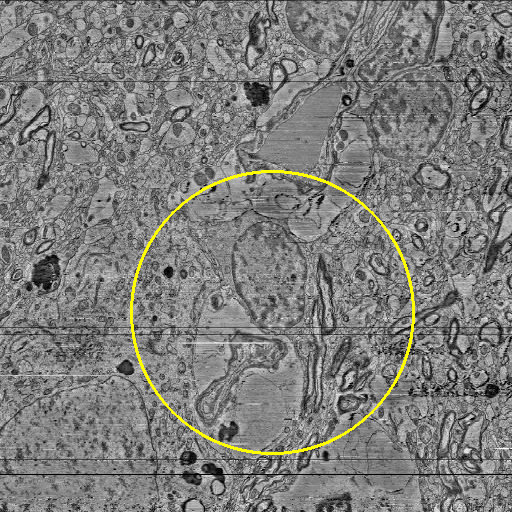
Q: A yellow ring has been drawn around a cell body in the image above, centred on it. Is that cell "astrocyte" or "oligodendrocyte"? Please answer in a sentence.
The ring surrounds the cell body of an oligodendrocyte.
